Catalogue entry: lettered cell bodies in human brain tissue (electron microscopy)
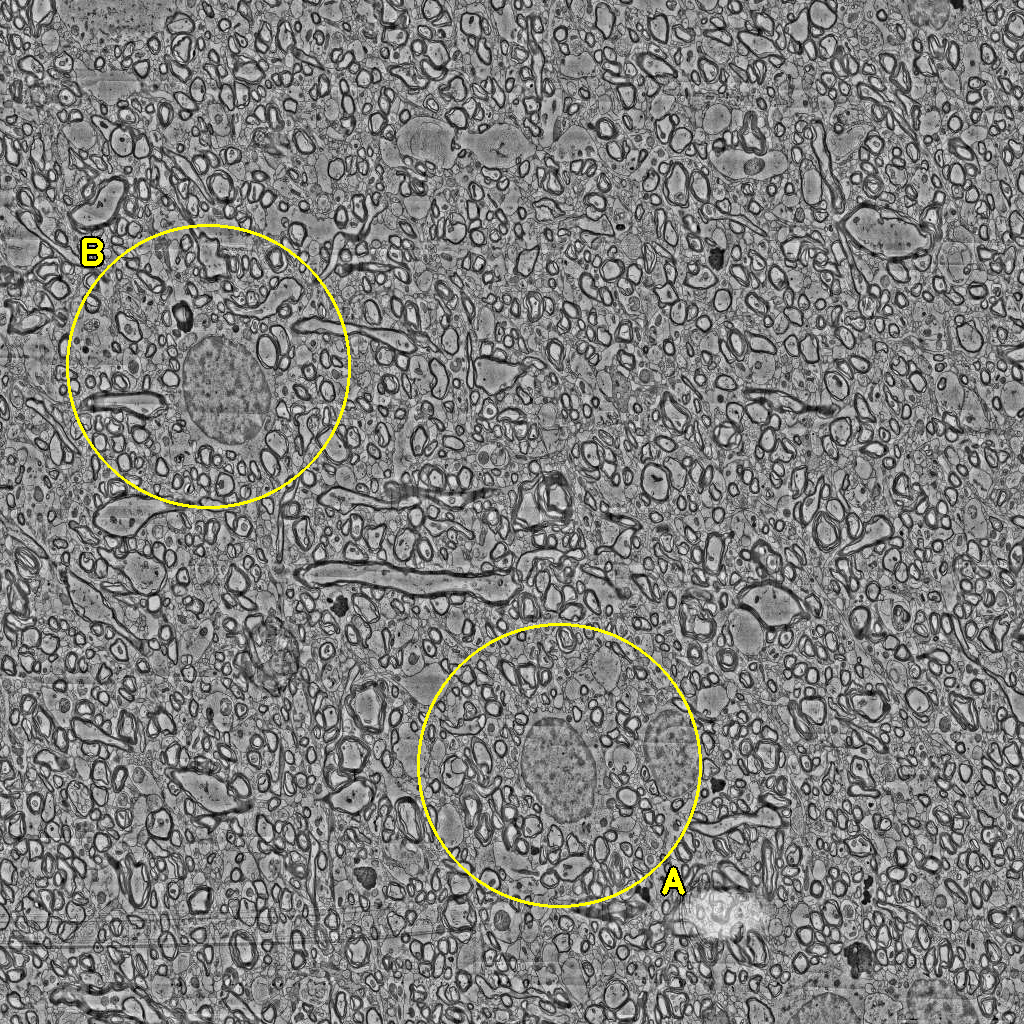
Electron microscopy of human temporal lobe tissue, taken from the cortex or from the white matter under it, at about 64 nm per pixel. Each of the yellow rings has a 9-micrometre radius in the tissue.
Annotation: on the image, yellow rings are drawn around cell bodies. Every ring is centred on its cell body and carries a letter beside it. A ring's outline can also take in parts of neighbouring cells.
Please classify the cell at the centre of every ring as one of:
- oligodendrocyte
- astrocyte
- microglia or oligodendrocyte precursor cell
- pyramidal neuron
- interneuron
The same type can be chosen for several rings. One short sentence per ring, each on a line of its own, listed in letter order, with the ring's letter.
Ring A is classified as an oligodendrocyte.
Ring B is classified as an oligodendrocyte.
